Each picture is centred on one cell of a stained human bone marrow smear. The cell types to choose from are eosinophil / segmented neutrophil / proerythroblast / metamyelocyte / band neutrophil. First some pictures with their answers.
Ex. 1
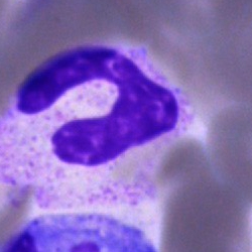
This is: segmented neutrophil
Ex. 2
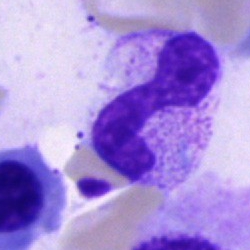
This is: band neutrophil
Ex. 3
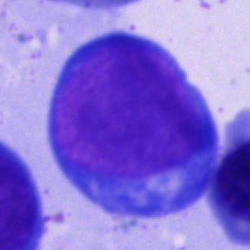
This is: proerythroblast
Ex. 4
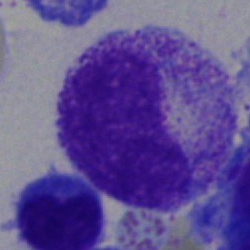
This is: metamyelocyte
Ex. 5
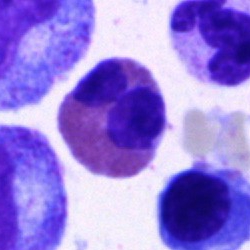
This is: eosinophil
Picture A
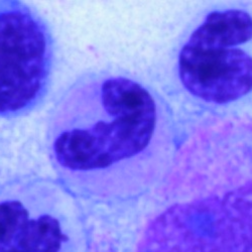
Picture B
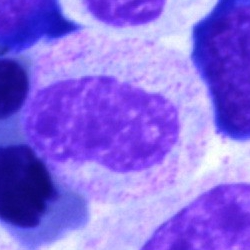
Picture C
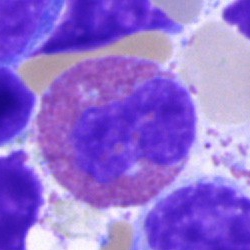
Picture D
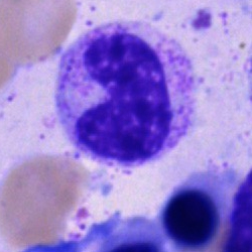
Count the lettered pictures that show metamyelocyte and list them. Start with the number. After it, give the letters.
2: B, D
